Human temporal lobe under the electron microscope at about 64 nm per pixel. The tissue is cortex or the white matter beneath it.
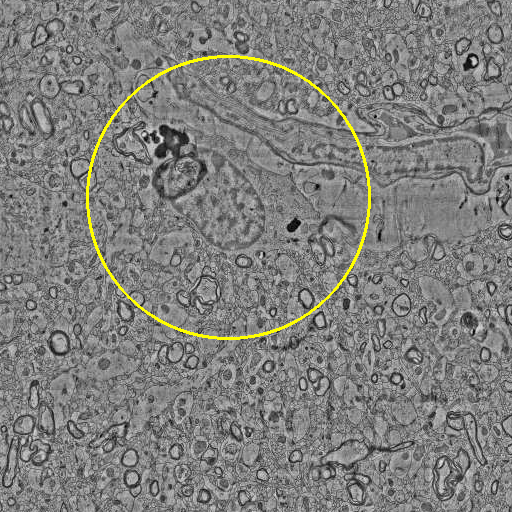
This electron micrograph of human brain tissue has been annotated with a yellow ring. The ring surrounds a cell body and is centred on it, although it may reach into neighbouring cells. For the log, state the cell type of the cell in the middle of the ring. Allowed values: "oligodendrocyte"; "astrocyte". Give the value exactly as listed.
oligodendrocyte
